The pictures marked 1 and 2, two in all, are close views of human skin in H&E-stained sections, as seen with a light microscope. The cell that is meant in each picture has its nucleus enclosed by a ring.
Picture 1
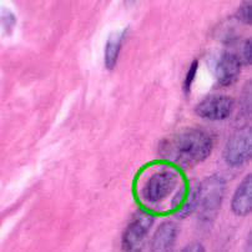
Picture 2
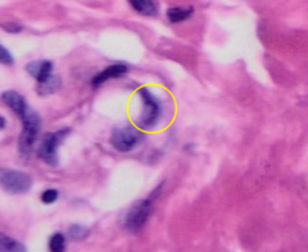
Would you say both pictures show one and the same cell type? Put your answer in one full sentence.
No. Picture 1 shows a basal keratinocyte, but picture 2 shows an endothelial cell.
